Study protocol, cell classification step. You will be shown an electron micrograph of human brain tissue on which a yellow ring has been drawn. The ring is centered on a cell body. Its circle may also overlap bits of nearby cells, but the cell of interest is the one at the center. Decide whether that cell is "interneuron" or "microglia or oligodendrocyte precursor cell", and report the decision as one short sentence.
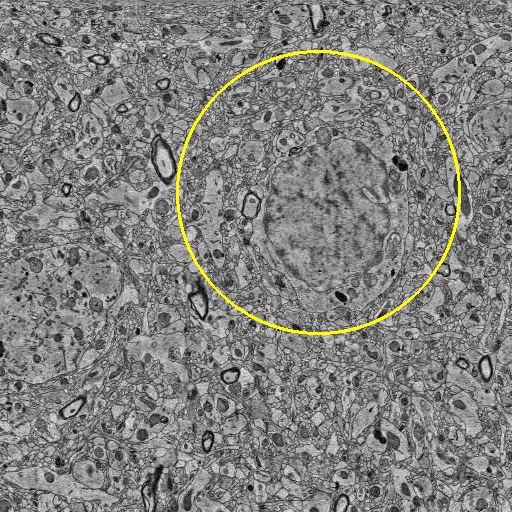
The marked cell is an interneuron.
